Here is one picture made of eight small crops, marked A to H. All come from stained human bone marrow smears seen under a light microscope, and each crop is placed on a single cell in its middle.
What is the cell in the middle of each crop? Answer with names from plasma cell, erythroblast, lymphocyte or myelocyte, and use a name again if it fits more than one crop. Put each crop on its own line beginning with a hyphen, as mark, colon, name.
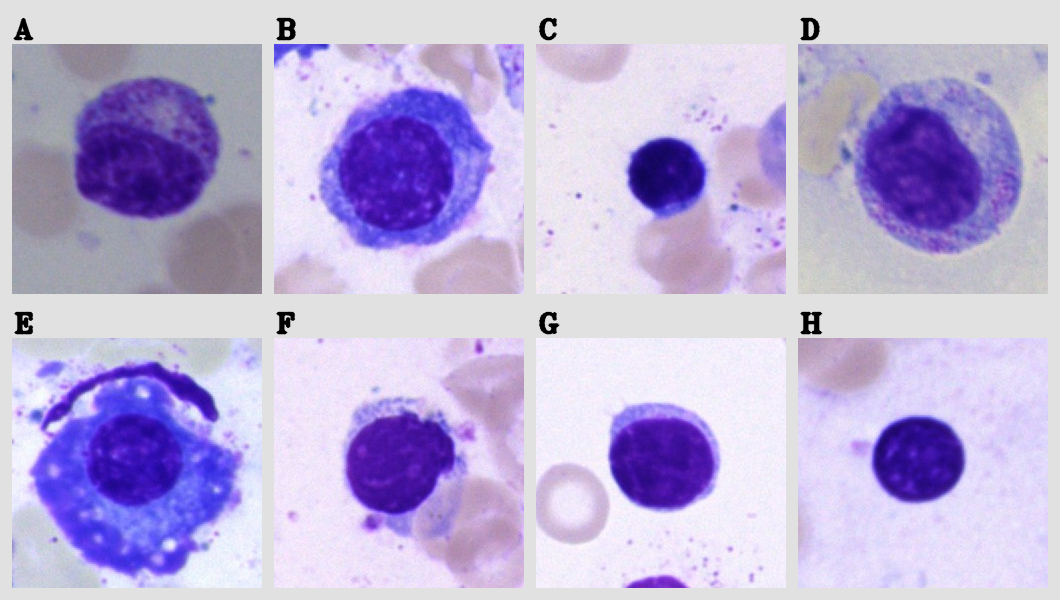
- A: myelocyte
- B: plasma cell
- C: lymphocyte
- D: myelocyte
- E: plasma cell
- F: lymphocyte
- G: lymphocyte
- H: lymphocyte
